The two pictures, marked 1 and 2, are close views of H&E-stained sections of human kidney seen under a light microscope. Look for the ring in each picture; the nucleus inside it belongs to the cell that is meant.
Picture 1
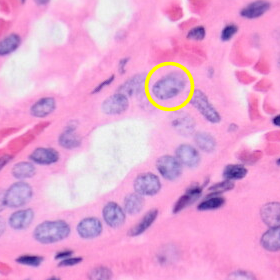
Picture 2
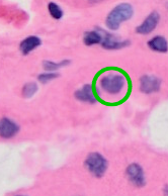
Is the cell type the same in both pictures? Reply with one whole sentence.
No. Picture 1 shows a collecting duct cell, but picture 2 shows a “loop of Henle or distal tubule cell”.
